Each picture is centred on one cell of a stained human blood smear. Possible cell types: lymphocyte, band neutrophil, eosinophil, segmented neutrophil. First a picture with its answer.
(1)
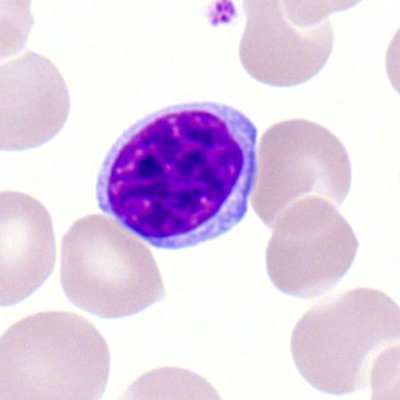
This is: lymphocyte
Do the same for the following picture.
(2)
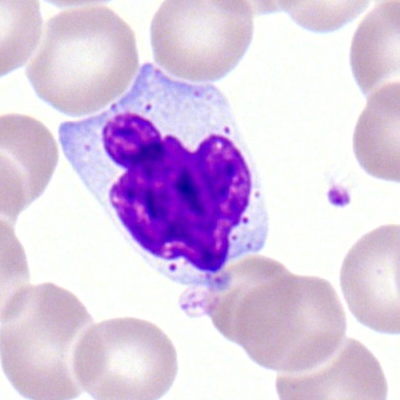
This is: lymphocyte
